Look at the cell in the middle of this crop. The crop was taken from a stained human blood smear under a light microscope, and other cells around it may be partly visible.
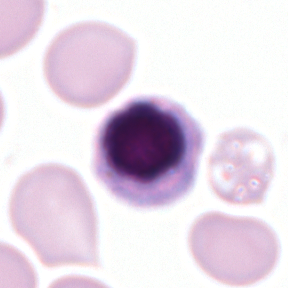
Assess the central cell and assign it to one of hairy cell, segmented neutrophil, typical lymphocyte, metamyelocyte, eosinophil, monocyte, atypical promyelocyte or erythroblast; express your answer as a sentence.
The cell under consideration, at the middle of the crop, is an erythroblast.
